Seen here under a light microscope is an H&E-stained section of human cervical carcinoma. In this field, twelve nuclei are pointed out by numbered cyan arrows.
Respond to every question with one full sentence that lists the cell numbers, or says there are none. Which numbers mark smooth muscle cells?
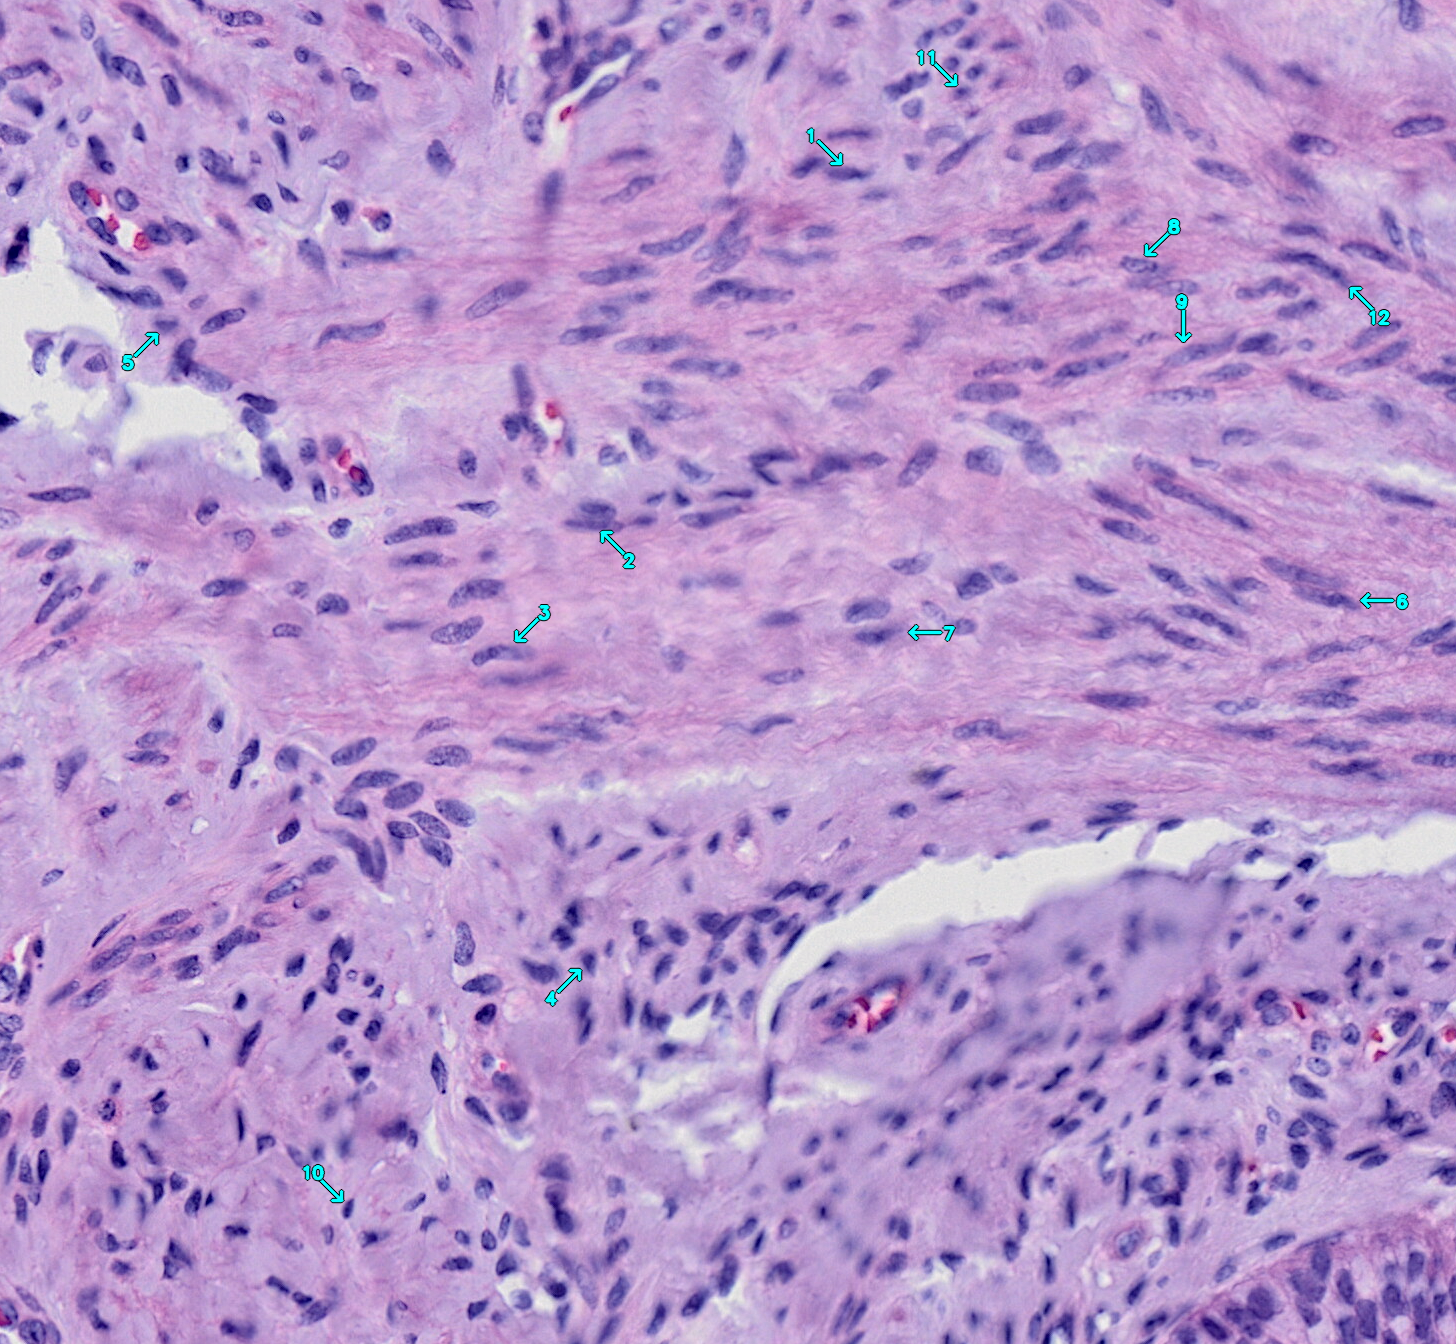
The cells with the number labels 6, 8, 9, 11 and 12 are smooth muscle cells.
